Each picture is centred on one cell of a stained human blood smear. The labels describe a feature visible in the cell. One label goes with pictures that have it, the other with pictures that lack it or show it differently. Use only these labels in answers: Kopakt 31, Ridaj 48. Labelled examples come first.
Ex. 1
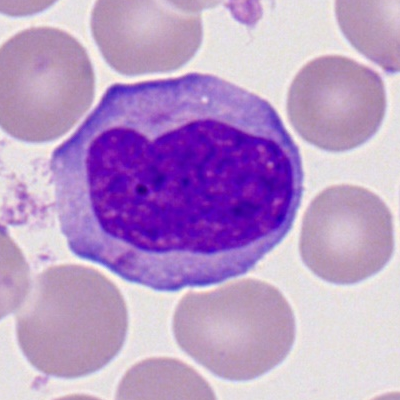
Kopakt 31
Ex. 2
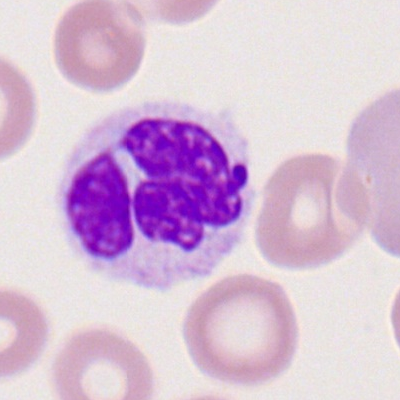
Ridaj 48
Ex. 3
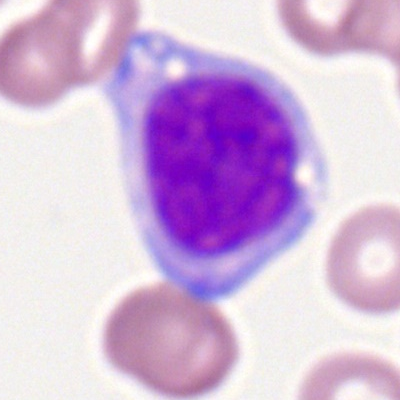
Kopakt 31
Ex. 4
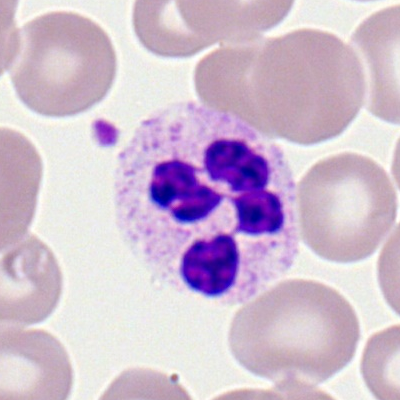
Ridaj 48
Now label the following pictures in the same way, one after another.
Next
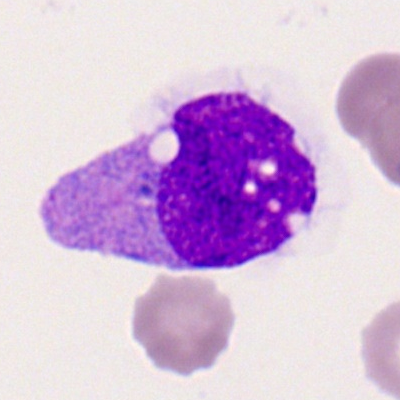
Kopakt 31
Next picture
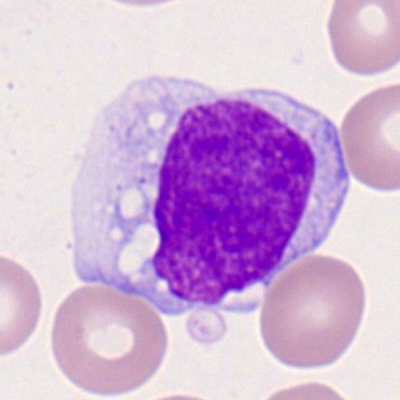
Kopakt 31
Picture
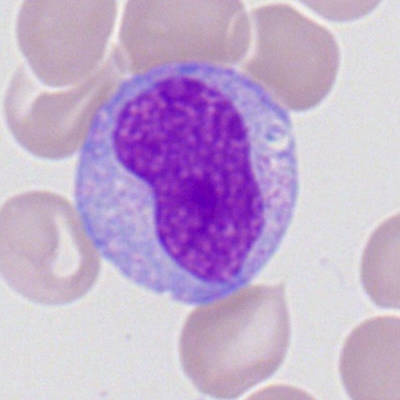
Kopakt 31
